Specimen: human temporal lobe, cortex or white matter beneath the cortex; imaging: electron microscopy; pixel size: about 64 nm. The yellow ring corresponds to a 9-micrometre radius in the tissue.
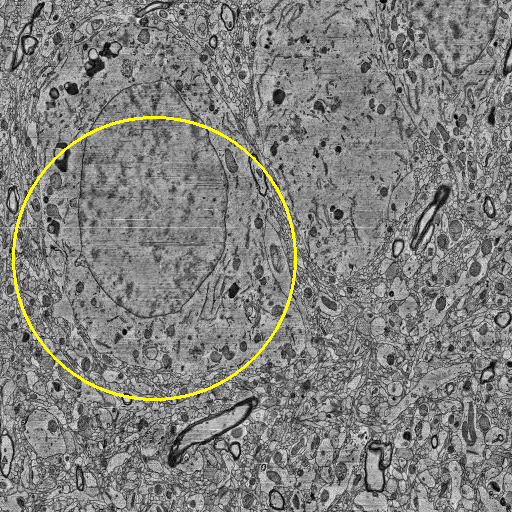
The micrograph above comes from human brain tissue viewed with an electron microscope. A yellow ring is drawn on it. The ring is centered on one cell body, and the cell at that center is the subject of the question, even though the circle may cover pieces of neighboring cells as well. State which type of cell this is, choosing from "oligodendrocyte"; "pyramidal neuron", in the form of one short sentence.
The cell the ring is centered on is a pyramidal neuron.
